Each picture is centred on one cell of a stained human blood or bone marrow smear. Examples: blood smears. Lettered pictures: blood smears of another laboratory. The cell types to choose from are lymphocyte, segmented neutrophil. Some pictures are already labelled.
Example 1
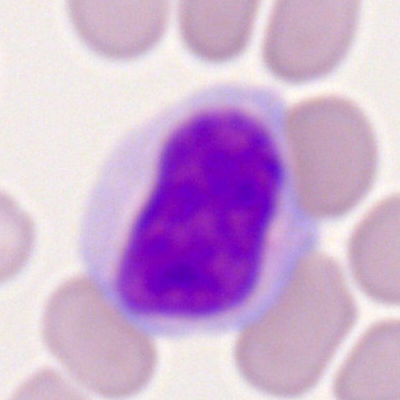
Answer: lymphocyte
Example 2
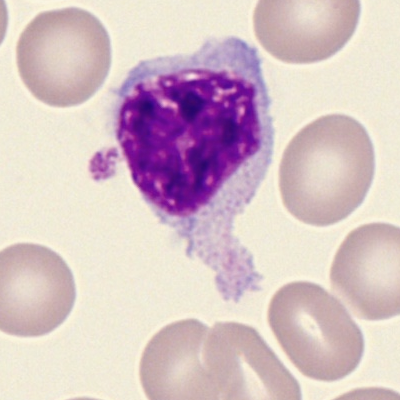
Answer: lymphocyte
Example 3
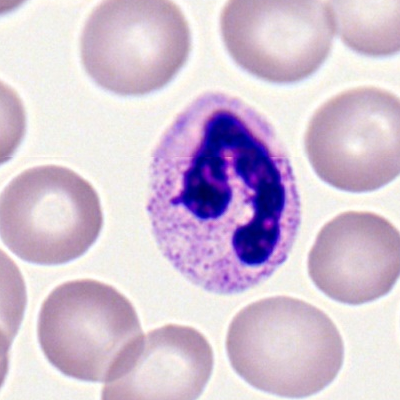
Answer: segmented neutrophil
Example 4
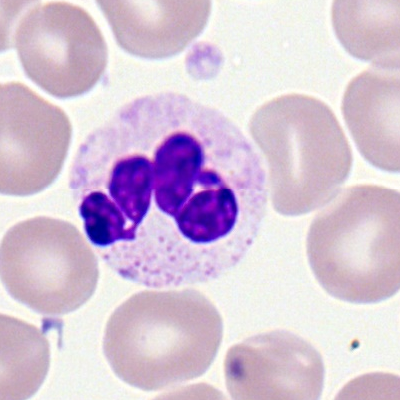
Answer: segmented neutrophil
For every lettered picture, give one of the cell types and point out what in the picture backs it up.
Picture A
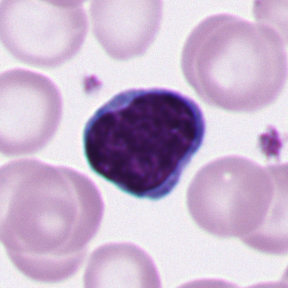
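Answer: lymphocyte. The nucleus is a single unlobed mass.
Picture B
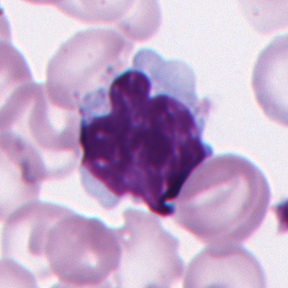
Answer: lymphocyte. The cytoplasm is scant, a pale greyish rim seen mainly above the nucleus.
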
